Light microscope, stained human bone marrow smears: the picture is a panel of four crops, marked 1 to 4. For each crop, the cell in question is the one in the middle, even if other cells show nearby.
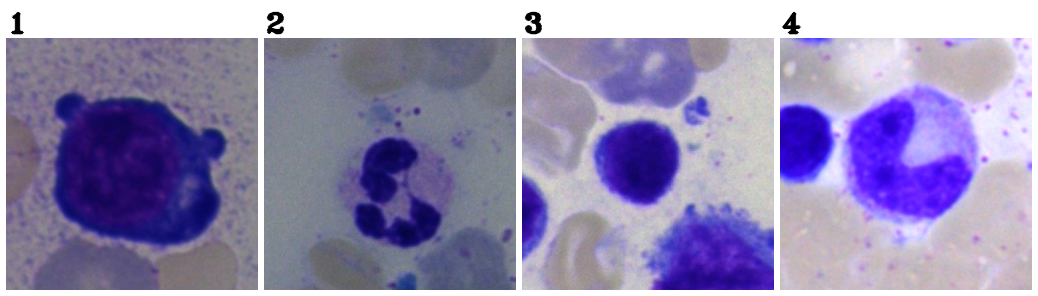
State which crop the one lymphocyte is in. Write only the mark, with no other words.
3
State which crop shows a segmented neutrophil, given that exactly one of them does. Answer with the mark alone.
2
